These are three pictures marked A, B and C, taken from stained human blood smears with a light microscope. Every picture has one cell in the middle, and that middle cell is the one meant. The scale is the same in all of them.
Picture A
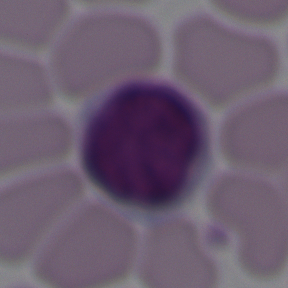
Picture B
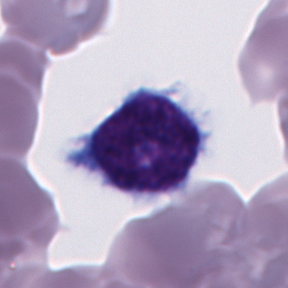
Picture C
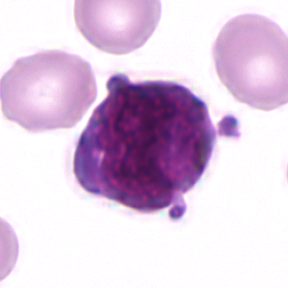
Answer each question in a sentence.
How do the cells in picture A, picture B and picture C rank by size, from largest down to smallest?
Largest first: C, A, B.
